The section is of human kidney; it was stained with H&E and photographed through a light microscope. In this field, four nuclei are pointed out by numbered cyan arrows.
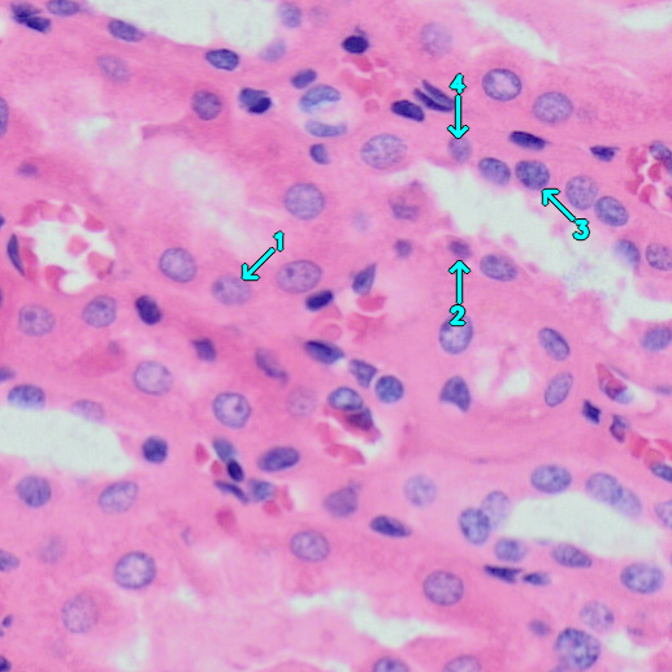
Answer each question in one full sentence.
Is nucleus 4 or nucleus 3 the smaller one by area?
With nucleus 3 about 1.5 times its size, nucleus 4 is the smaller of the two.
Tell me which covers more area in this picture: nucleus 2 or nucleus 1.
At about 3 times the area of nucleus 2, nucleus 1 is the larger of the two.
